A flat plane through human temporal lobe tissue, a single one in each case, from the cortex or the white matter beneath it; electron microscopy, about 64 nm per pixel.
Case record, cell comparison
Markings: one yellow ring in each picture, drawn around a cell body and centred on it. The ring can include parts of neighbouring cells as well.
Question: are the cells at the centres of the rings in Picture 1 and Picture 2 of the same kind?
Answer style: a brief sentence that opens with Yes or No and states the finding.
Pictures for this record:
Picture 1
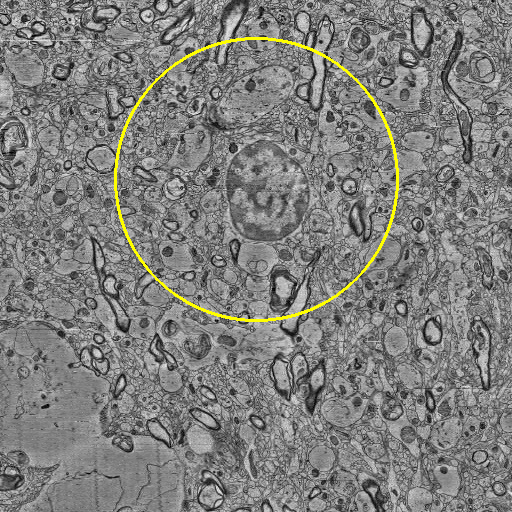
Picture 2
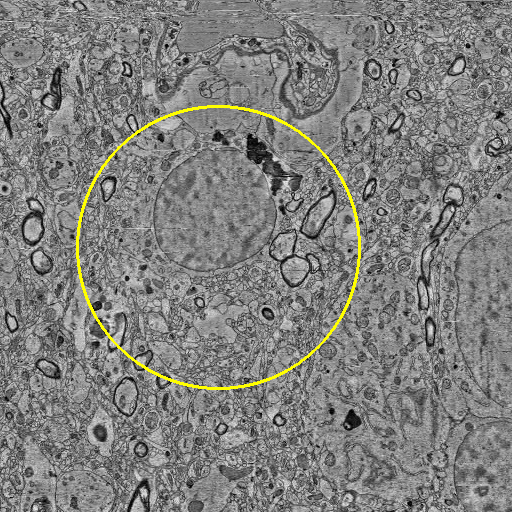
No, the cells in Picture 1 and Picture 2 are of two kinds.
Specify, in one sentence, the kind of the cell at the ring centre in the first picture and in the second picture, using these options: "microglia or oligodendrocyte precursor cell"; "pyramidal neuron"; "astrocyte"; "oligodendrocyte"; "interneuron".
So the first is a microglial cell or oligodendrocyte precursor cell, the second an oligodendrocyte.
